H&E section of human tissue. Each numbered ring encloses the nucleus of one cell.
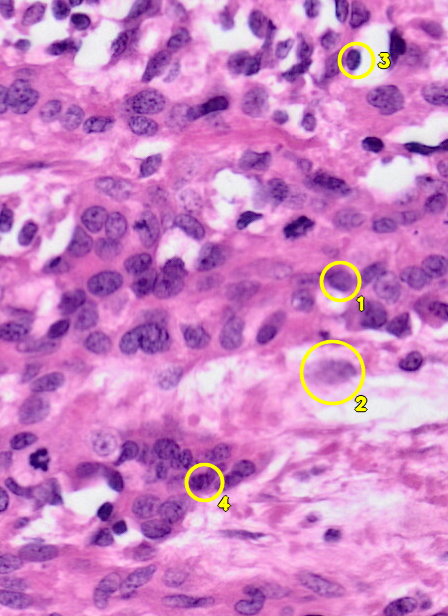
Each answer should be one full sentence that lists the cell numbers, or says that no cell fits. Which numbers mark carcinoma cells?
The cells picked out by numbers 1, 3 and 4 are carcinoma cells.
